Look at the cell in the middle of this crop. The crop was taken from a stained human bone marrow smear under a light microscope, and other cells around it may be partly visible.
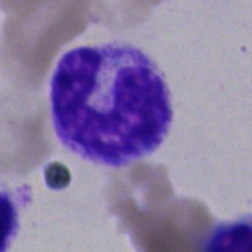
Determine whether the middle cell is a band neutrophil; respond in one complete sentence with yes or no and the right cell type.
Yes, the cell of interest in the middle is a band neutrophil.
